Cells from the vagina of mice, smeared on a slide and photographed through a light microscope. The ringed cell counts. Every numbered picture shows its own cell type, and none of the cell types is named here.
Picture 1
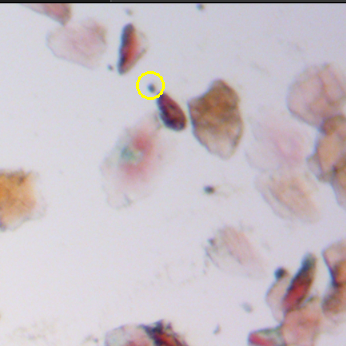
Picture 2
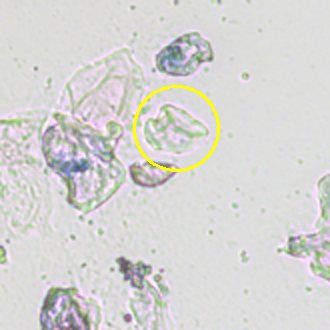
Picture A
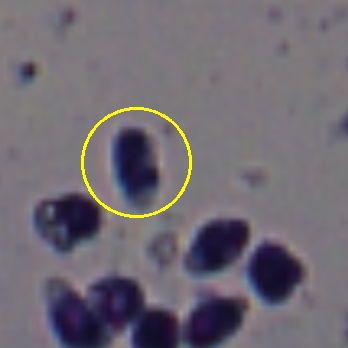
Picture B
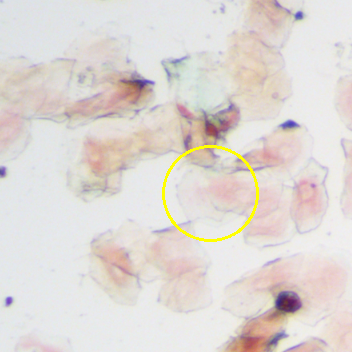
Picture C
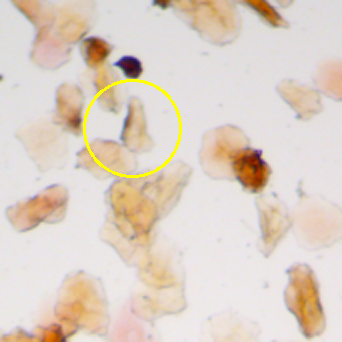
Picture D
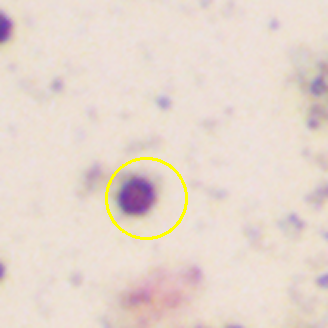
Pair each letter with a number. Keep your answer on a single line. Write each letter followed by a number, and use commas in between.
A 1, B 2, C 2, D 1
